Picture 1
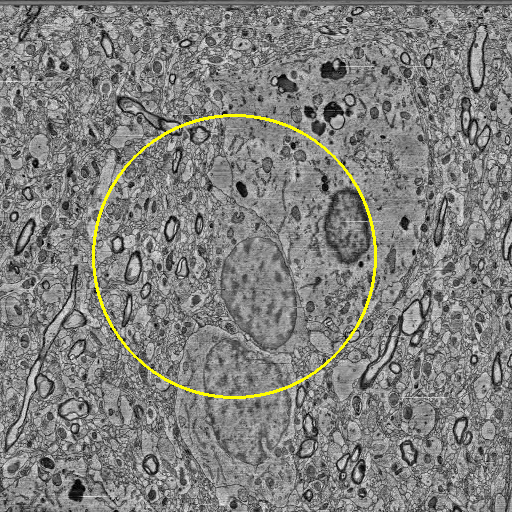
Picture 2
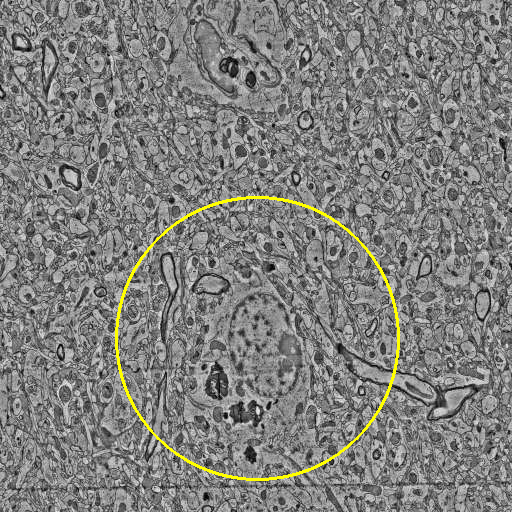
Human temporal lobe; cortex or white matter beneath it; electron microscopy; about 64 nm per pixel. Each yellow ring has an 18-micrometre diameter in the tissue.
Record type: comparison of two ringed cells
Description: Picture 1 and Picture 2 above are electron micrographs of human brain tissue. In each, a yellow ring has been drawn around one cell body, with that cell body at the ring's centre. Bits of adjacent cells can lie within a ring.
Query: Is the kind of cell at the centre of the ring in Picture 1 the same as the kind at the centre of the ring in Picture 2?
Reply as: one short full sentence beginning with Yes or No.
No, the two ringed cells are of two separate kinds.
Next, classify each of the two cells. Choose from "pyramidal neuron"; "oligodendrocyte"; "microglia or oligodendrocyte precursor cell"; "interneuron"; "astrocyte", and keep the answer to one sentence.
In the first picture it is an oligodendrocyte; in the second it is an astrocyte.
